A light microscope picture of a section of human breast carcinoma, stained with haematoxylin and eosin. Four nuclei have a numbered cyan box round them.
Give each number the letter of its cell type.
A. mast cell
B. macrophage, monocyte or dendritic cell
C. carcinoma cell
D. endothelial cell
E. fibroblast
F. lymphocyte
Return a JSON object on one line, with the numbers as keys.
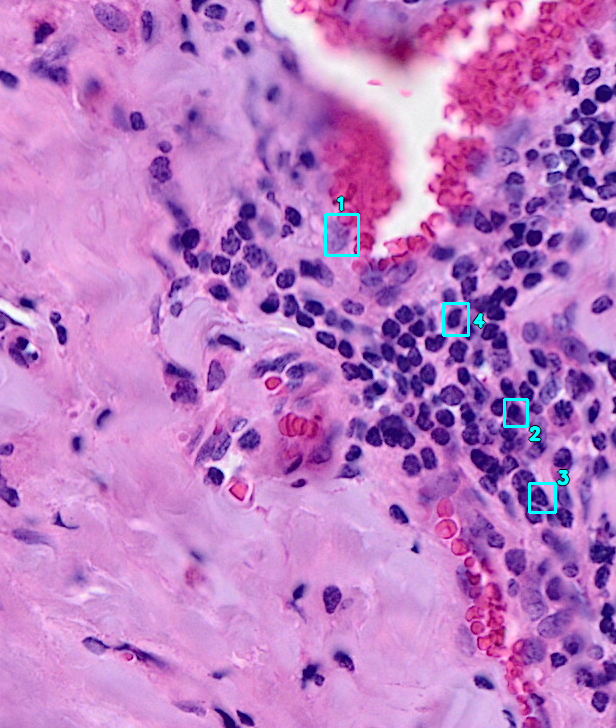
{"1": "D", "2": "F", "3": "F", "4": "F"}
